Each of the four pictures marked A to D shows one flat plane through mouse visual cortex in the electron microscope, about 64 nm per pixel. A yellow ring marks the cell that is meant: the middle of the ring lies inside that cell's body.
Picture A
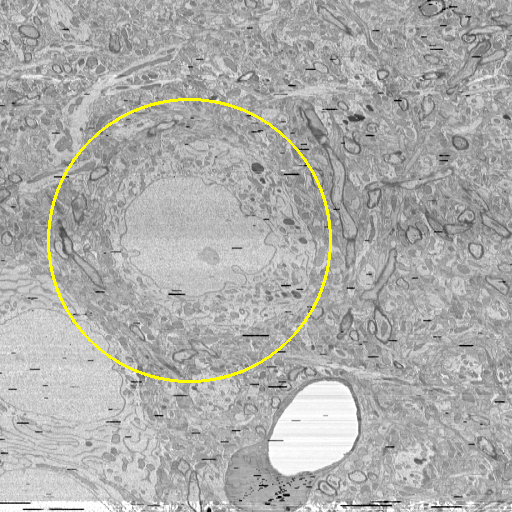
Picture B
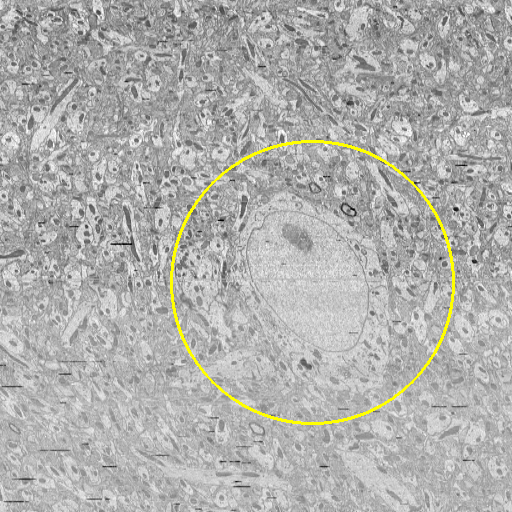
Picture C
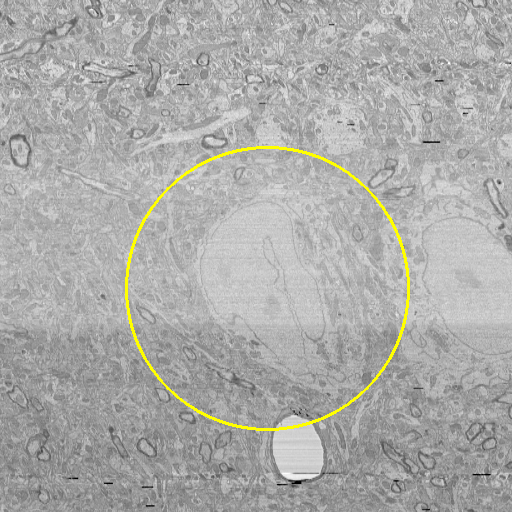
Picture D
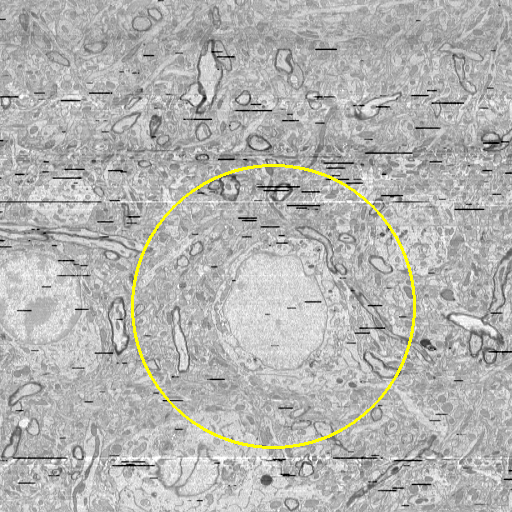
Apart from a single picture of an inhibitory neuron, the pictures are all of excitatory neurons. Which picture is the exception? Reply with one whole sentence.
The cell in picture D is the inhibitory neuron.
